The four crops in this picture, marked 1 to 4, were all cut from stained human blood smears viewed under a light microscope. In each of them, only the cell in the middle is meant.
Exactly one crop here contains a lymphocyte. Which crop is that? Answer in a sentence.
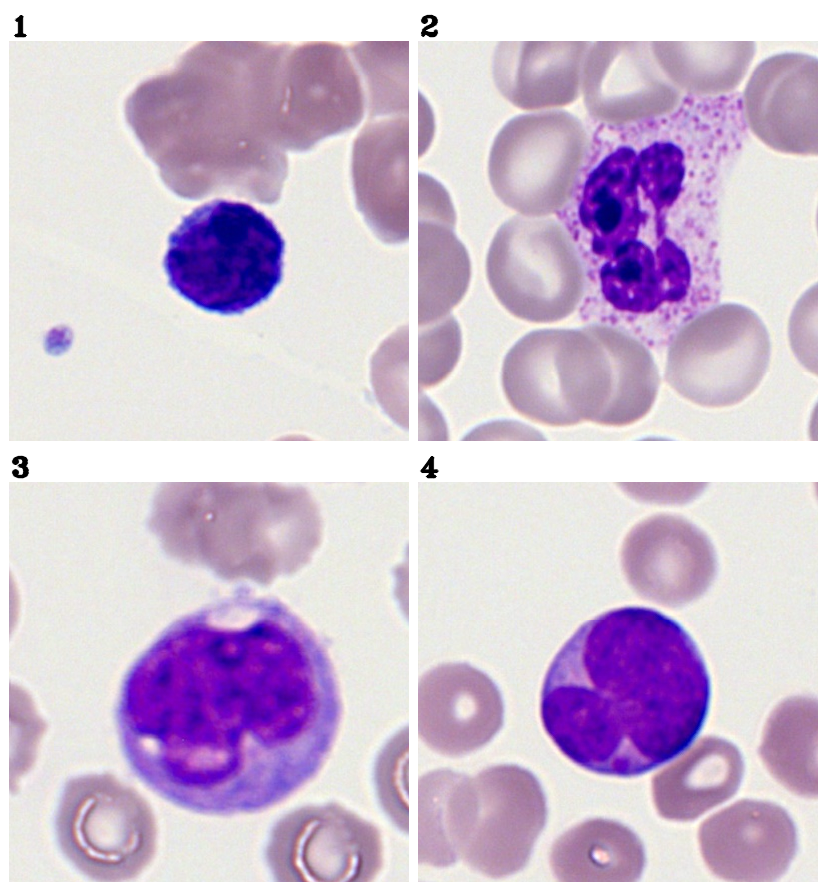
That would be crop 1; it shows a lymphocyte.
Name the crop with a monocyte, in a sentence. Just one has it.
The crop with a monocyte at its center is crop 3.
